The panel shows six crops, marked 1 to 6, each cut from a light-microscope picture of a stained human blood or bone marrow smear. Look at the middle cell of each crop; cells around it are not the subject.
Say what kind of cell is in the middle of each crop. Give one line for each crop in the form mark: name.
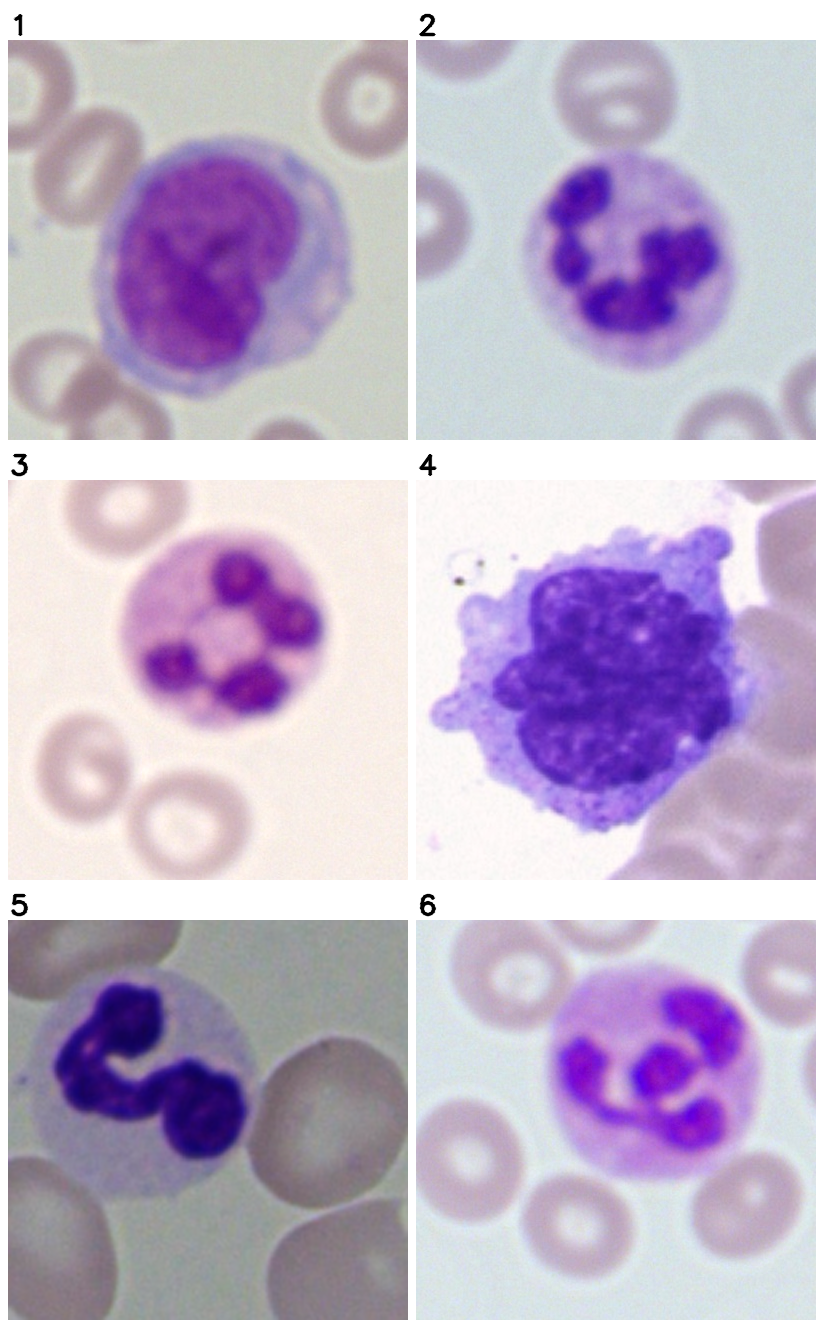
1: monocyte
2: neutrophil
3: neutrophil
4: monocyte
5: neutrophil
6: neutrophil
